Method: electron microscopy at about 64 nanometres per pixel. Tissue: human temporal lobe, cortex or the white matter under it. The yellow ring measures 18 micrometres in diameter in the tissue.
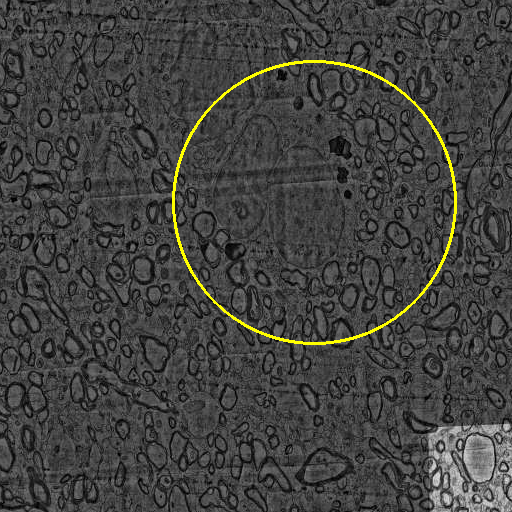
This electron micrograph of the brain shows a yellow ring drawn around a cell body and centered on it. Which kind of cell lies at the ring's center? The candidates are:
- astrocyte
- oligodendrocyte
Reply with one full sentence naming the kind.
The cell lying at the ring's center in this micrograph is an oligodendrocyte.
